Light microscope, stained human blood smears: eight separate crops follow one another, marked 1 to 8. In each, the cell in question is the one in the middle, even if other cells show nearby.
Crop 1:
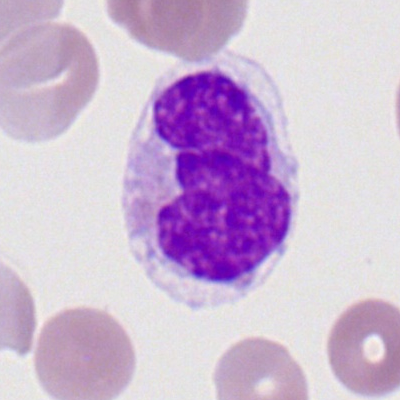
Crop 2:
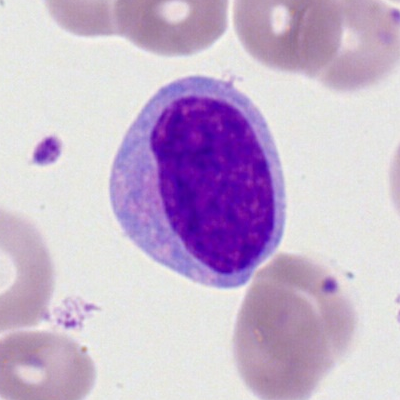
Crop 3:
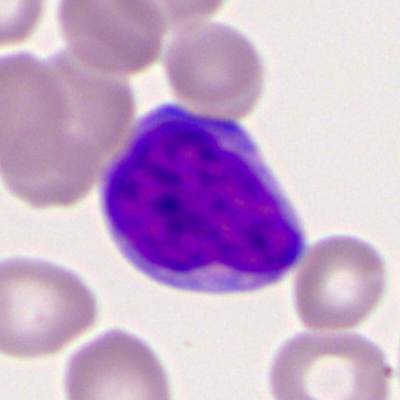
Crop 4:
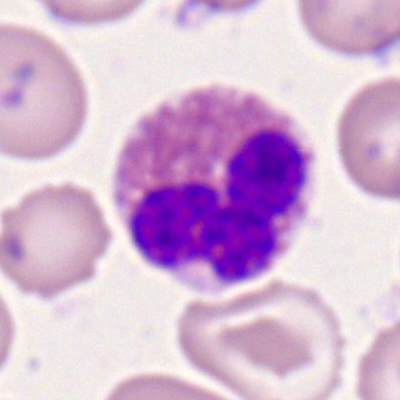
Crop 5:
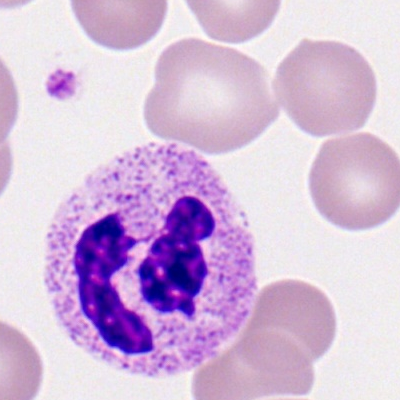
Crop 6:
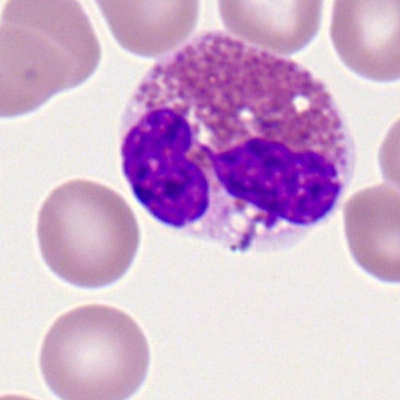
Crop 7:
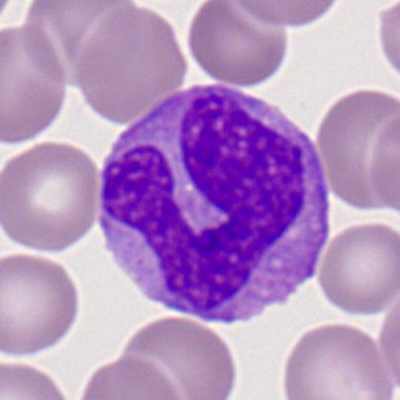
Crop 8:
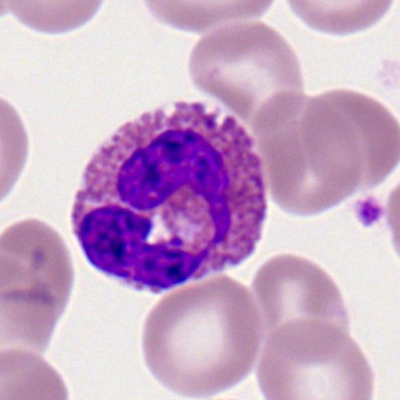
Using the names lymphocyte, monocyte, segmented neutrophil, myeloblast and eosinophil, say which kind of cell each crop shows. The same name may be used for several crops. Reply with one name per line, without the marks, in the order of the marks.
monocyte
myeloblast
myeloblast
eosinophil
segmented neutrophil
eosinophil
monocyte
eosinophil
